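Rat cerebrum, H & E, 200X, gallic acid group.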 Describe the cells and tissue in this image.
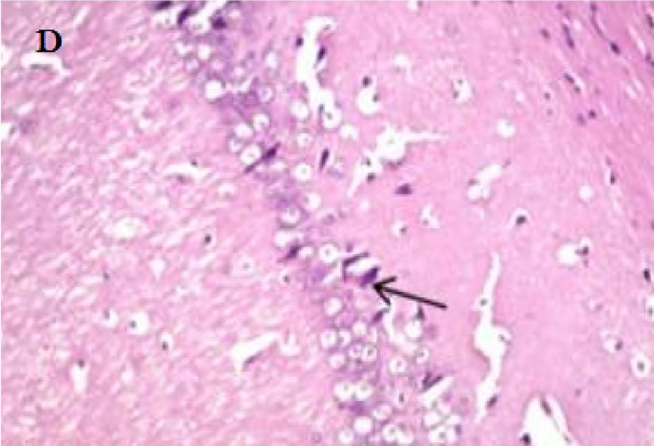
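A narrow curved band of neuronal cell bodies runs from top to bottom through pale pink neuropil. Most cells in the band have round nuclei surrounded by clear halos, so the layer looks vacuolated. A few darker, more condensed nuclei are present within the band. The surrounding neuropil holds scattered small nuclei and several irregular clear spaces.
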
